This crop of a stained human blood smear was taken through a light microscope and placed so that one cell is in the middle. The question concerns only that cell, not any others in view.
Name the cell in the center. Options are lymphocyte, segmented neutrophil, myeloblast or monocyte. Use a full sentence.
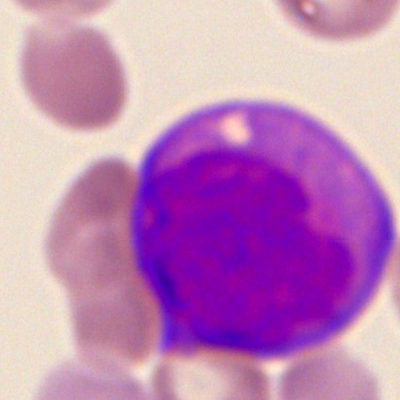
By classification, the middle cell of this crop is a myeloblast.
